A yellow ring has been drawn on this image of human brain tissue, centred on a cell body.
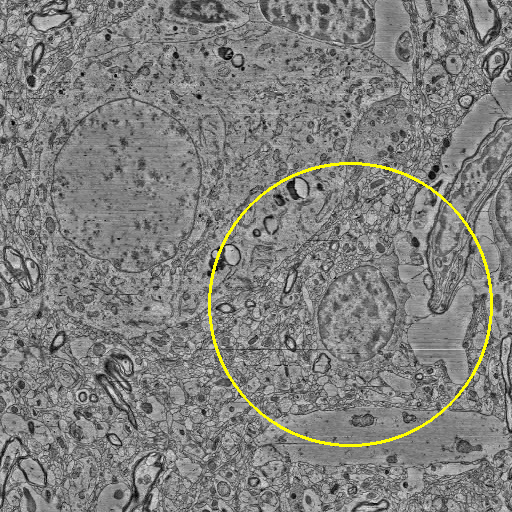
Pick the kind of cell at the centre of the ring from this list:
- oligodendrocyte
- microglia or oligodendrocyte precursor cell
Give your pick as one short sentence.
The centre of the ring holds an oligodendrocyte.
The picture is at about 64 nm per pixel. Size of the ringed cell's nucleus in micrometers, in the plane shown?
Approximately 7 by 5 micrometers in this plane.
